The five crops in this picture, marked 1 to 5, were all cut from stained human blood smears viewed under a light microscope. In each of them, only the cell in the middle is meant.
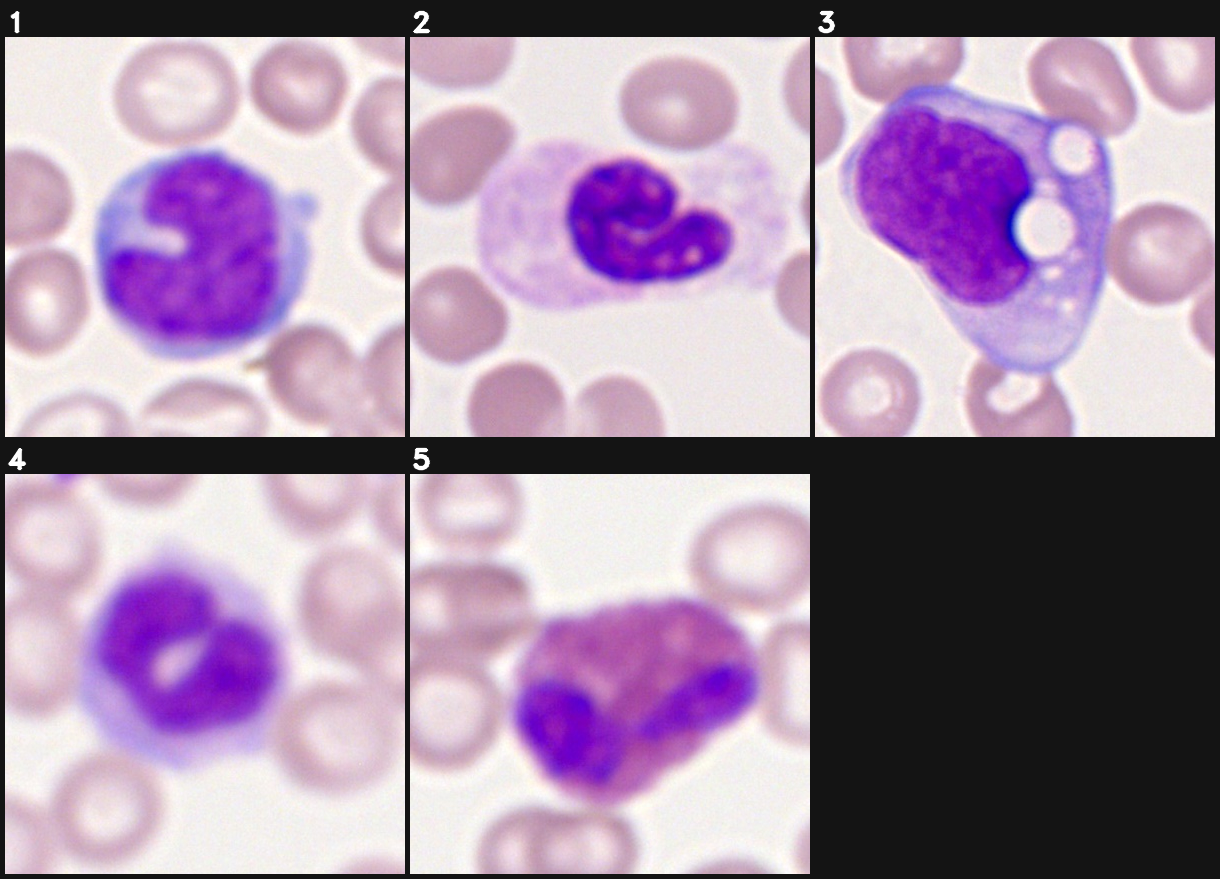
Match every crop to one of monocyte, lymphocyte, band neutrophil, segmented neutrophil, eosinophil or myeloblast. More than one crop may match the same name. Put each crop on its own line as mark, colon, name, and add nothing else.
1: monocyte
2: band neutrophil
3: monocyte
4: monocyte
5: eosinophil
